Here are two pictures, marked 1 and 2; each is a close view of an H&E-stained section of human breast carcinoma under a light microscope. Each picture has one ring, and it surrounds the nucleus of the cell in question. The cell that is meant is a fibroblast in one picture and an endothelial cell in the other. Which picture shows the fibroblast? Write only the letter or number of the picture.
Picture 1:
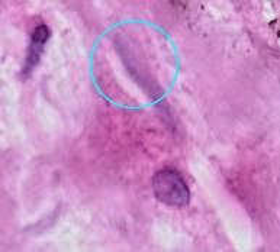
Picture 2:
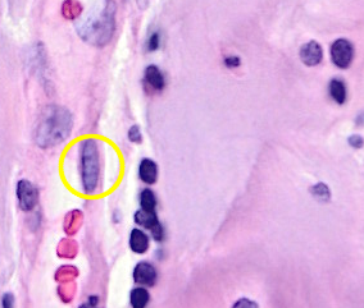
1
